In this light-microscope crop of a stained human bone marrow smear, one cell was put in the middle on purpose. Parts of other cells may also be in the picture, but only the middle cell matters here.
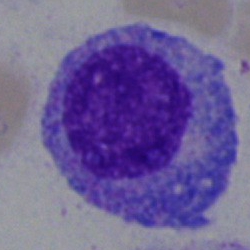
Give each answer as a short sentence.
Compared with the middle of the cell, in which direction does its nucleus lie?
It is shifted toward the upper left of the cell.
